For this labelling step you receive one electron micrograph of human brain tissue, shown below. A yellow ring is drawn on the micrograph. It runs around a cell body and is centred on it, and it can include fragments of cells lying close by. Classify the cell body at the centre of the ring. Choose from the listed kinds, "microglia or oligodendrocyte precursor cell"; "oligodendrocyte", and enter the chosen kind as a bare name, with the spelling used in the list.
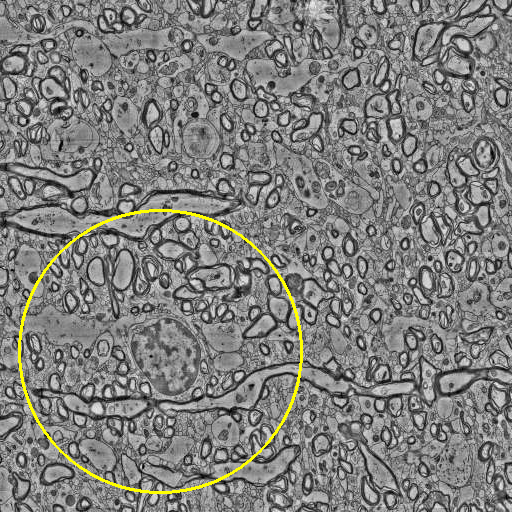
microglia or oligodendrocyte precursor cell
